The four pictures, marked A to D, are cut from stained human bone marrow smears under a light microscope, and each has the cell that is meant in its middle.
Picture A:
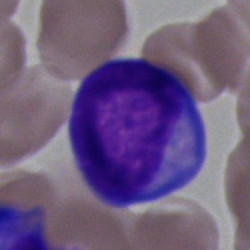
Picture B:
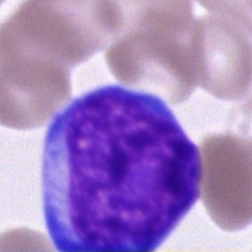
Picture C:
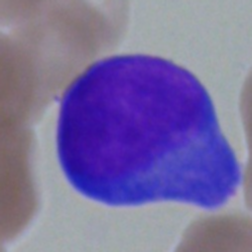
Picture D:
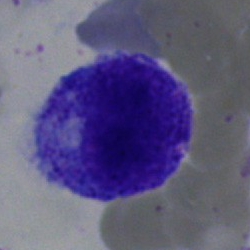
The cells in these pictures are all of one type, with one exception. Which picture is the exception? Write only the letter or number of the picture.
D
